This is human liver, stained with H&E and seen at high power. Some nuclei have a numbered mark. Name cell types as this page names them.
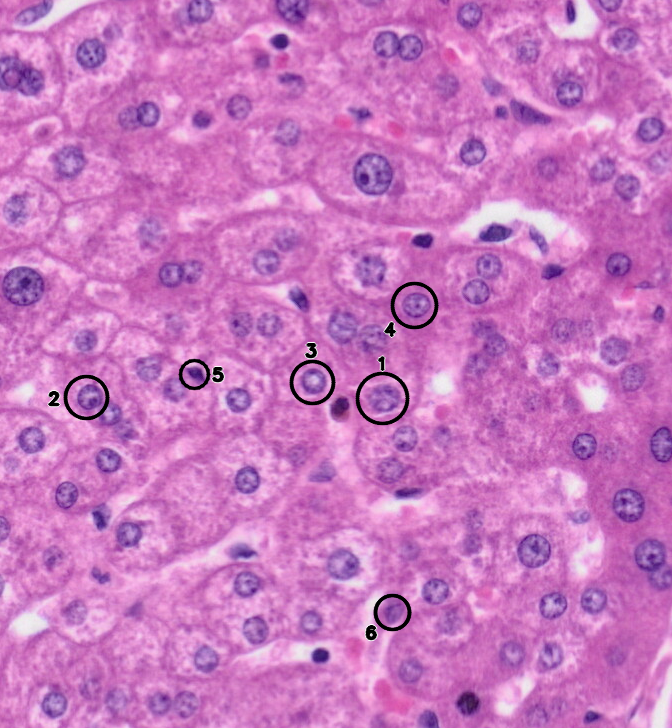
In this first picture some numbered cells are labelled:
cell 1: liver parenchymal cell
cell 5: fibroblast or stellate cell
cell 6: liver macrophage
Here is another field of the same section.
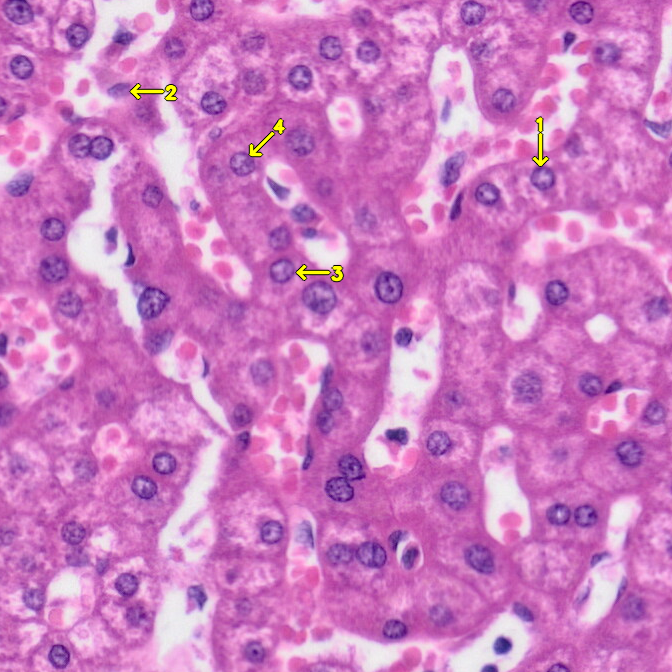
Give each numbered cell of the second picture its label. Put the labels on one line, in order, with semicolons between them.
liver parenchymal cell; liver macrophage; liver parenchymal cell; liver parenchymal cell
